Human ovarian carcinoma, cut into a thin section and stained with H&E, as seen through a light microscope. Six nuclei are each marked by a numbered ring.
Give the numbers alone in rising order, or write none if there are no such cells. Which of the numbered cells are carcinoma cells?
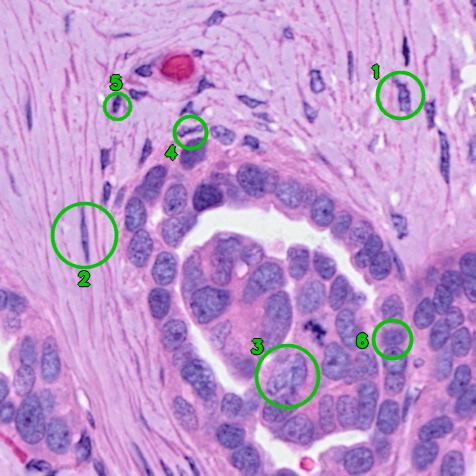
3, 6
